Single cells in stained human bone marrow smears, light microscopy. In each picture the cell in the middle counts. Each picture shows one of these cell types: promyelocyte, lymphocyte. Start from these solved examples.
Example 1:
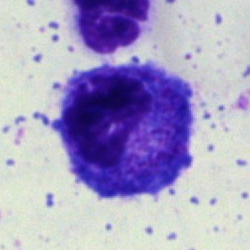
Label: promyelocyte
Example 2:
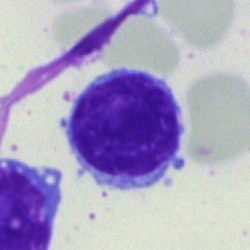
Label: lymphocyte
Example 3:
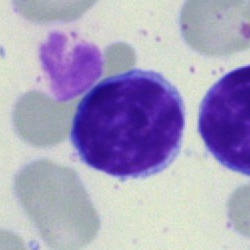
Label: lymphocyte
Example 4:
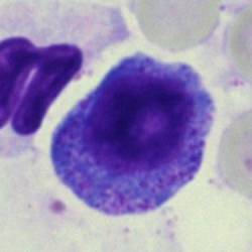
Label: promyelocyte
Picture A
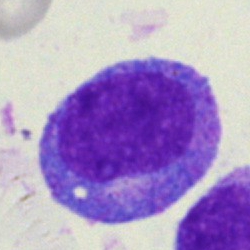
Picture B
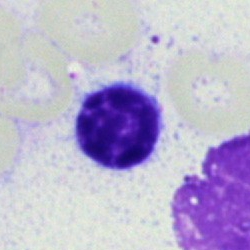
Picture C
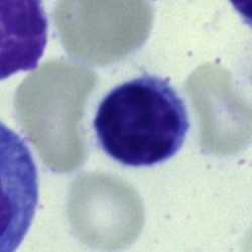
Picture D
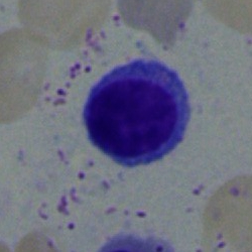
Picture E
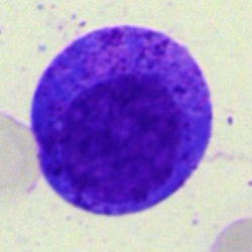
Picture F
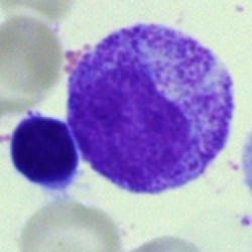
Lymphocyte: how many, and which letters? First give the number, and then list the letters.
3, namely B, C, D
